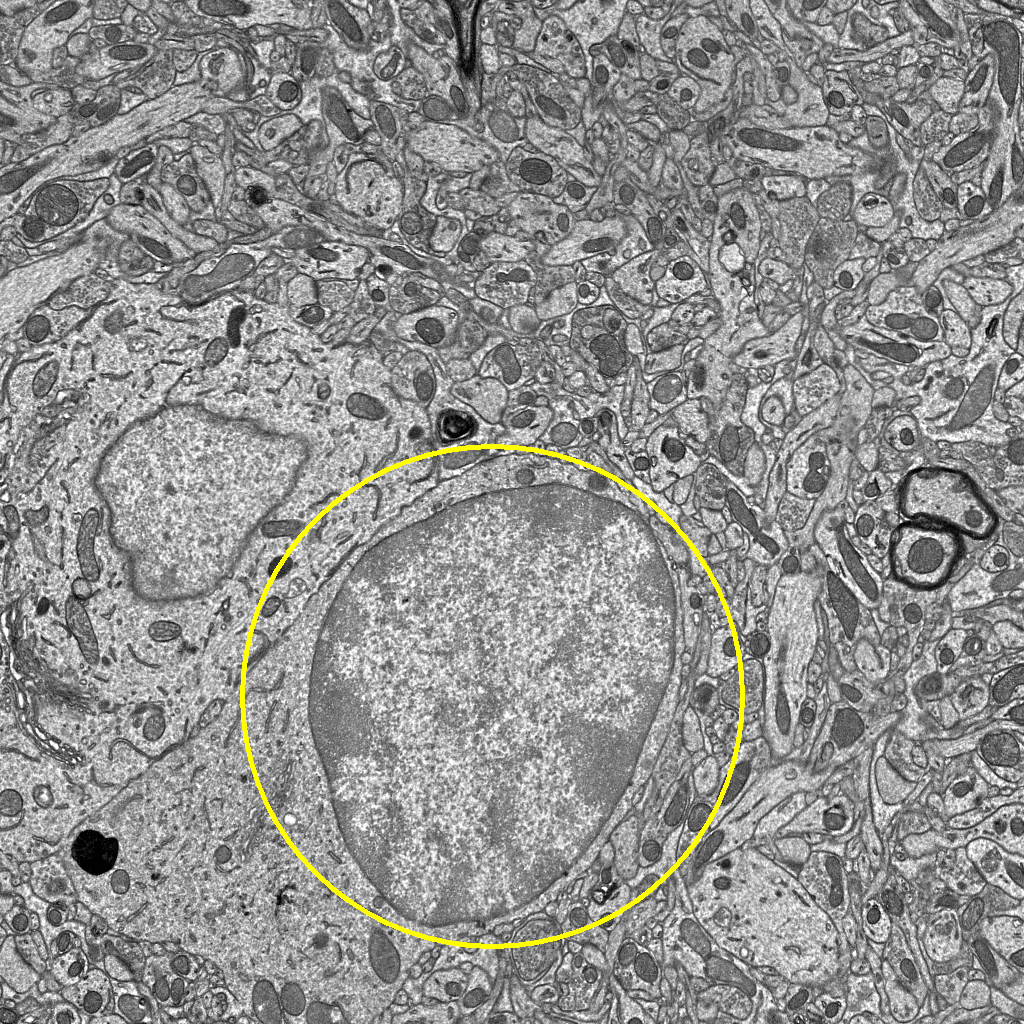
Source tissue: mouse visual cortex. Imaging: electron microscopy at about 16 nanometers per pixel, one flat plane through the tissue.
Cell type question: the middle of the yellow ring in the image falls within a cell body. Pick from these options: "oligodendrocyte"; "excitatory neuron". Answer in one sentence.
The cell body at the center of the ring belongs to an oligodendrocyte.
